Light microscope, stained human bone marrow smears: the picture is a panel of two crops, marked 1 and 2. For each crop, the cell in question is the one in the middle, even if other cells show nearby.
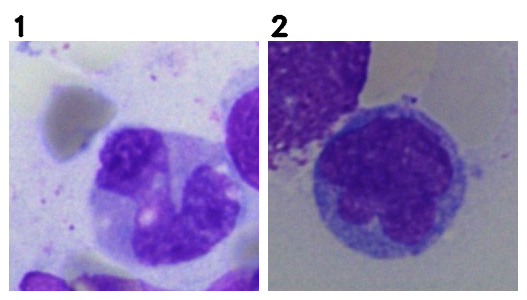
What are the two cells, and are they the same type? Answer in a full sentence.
No, a band neutrophil is the cell in crop 1; a monocyte is the cell in crop 2.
